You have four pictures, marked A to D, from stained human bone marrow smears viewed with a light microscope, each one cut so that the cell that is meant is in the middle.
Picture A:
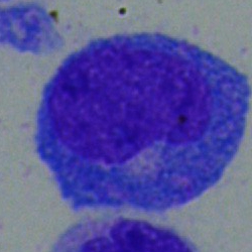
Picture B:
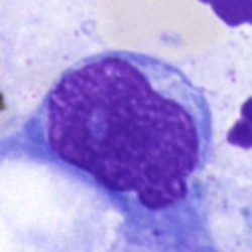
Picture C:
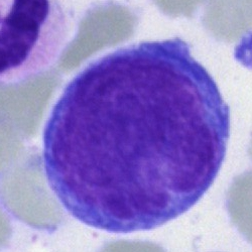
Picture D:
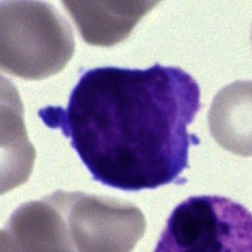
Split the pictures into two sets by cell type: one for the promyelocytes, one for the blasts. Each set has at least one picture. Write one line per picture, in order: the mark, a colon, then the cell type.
A: promyelocyte
B: blast
C: blast
D: blast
